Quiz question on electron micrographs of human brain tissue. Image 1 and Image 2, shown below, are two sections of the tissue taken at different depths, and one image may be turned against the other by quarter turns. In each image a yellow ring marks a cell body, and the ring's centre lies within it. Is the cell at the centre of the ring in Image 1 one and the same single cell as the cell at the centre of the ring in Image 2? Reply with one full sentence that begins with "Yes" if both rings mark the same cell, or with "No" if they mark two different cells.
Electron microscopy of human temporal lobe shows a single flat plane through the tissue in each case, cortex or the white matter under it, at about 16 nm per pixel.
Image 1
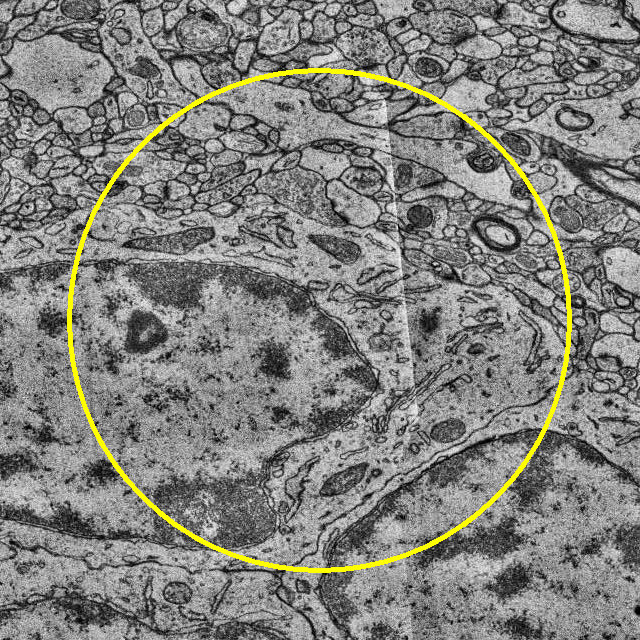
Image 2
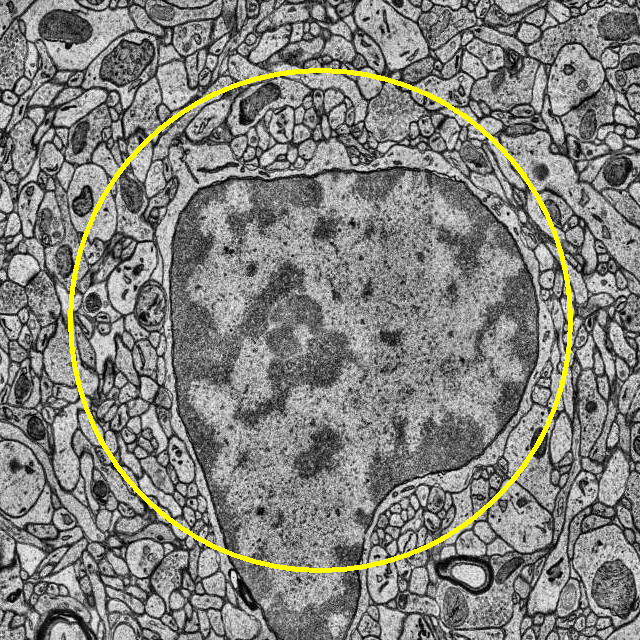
No, the rings do not mark the same cell.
